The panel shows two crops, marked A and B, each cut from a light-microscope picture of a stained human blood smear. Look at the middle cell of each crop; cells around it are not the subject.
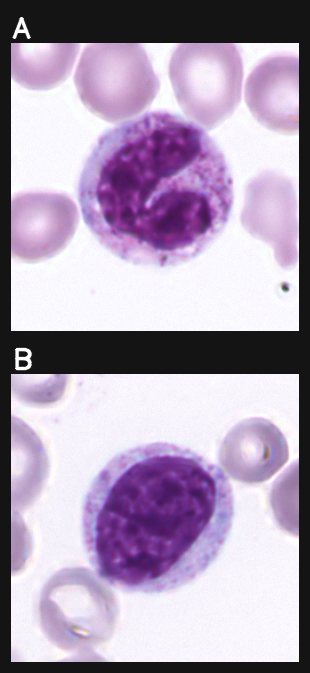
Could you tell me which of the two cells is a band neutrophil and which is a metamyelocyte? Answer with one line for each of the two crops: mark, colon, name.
A: band neutrophil
B: metamyelocyte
